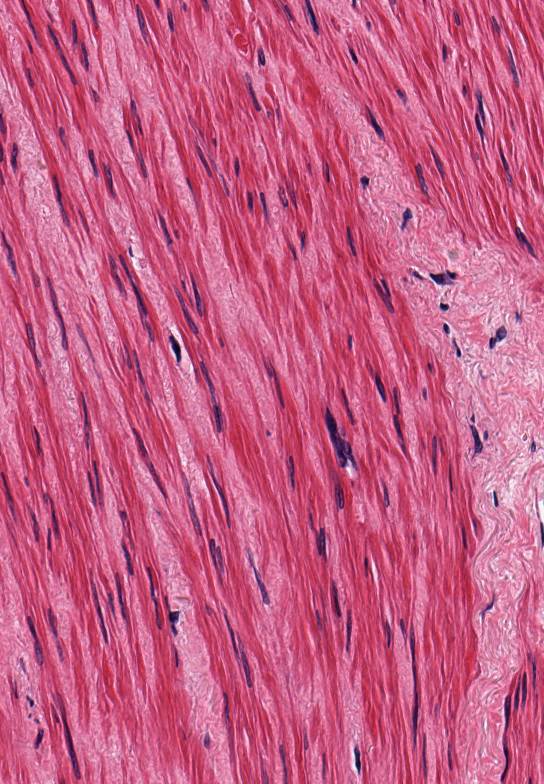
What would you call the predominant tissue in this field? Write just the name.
tunica media of an artery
